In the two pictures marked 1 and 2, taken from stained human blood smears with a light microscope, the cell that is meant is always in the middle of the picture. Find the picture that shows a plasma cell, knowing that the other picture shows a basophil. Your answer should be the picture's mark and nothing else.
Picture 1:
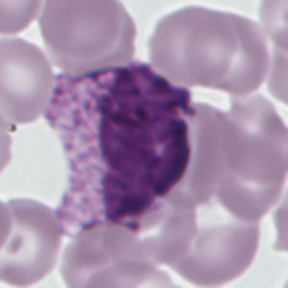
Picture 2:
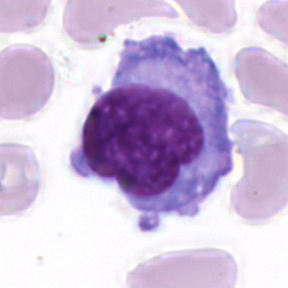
2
